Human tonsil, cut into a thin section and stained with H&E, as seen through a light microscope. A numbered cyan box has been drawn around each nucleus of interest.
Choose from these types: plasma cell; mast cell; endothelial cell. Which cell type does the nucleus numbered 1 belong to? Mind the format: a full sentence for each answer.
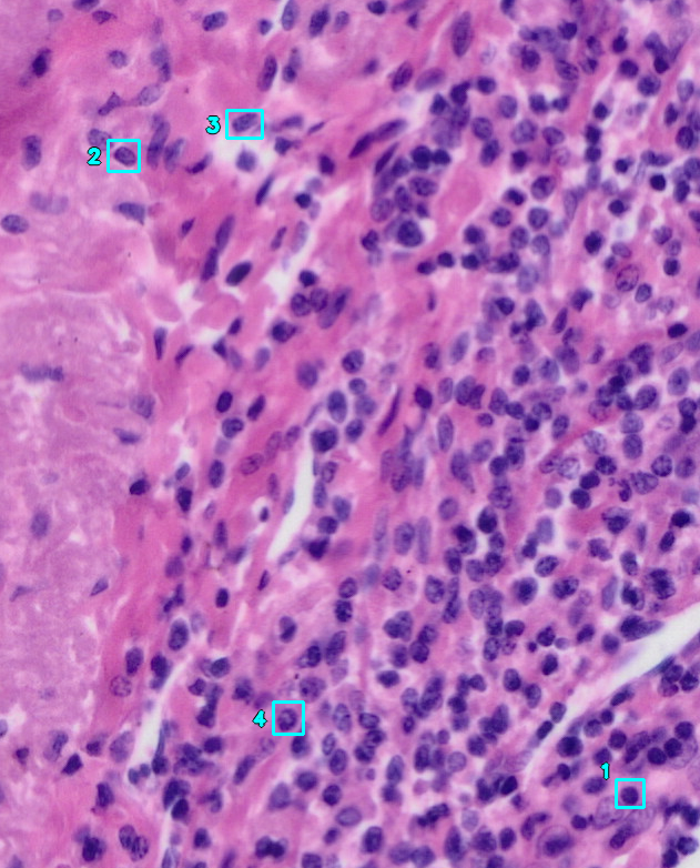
The cell pointed out by number 1 is an endothelial cell.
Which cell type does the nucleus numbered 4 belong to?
Among the marked cells, number 4 is a plasma cell.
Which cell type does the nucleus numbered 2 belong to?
Heads up, the cell numbered 2 is a mast cell.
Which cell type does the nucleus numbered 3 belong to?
The one numbered 3 among the marked cells is a mast cell.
